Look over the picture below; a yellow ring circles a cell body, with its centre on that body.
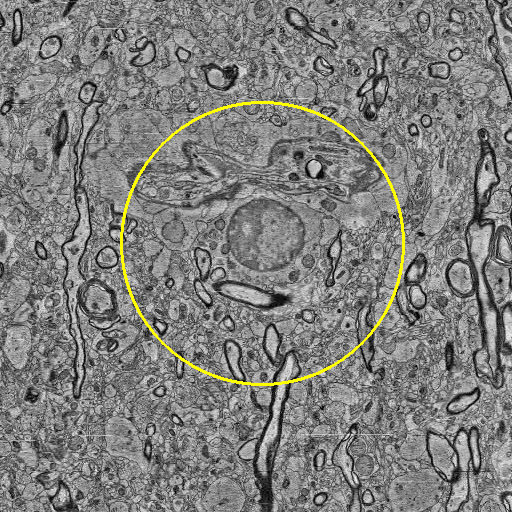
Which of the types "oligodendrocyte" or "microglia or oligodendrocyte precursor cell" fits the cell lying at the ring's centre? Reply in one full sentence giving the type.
The picture shows an oligodendrocyte at the centre of the yellow ring.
